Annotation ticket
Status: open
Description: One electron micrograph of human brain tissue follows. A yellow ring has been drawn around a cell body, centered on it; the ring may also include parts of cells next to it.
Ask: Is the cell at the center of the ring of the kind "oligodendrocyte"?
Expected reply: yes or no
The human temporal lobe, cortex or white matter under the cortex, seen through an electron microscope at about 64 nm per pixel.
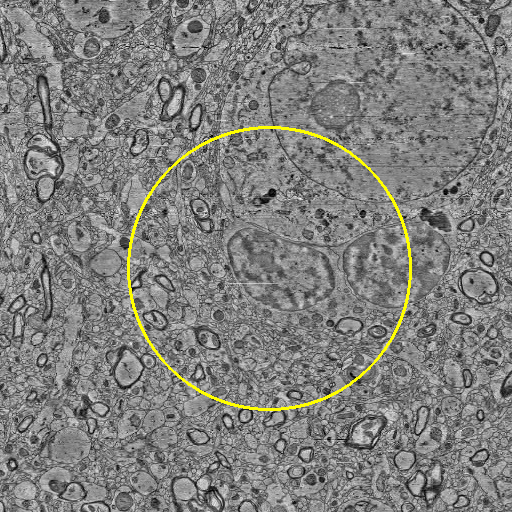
yes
